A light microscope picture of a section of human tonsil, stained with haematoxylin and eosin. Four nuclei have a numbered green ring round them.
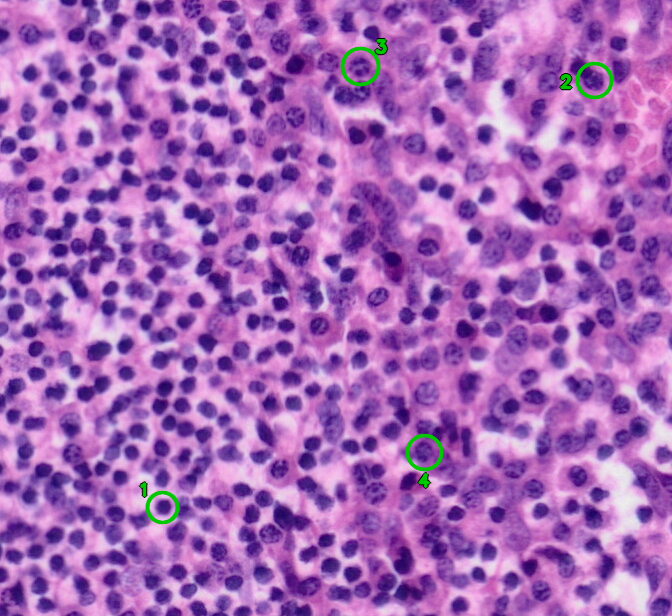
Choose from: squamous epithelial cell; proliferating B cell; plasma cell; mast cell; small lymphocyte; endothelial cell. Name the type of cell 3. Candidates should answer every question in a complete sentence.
The marked cell bearing number 3 is a plasma cell.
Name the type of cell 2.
The cell tagged with 2 in this tissue section is a plasma cell.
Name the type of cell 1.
Cell 1, among those numbered, is a small lymphocyte.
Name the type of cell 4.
Belonging to a plasma cell is the nucleus that carries the number 4.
